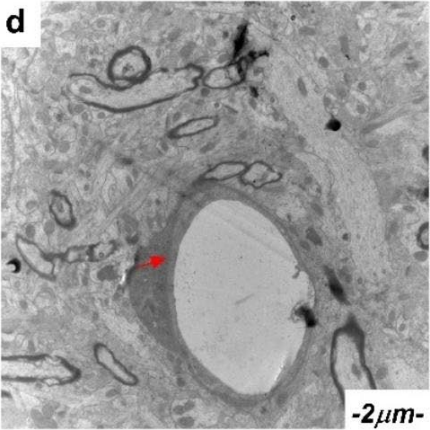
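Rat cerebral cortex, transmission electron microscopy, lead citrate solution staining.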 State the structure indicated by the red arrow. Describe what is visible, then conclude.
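The arrow points to the wall of a large oval open lumen with pale contents. A thin layer of cells lines the lumen. The answer: microvessels.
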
